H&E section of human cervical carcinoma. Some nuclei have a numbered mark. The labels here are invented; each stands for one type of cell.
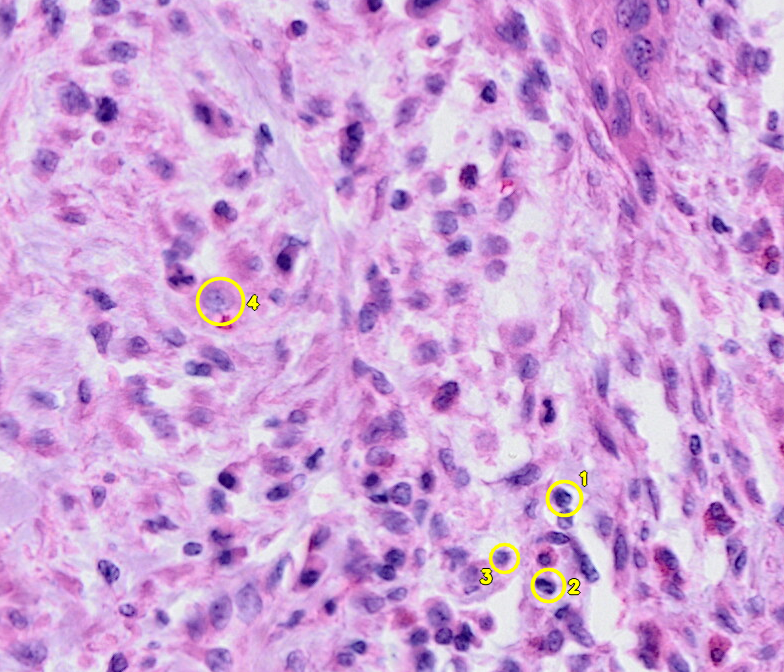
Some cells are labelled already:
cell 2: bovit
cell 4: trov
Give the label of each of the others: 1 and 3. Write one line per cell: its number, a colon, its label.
1: bovit
3: bovit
